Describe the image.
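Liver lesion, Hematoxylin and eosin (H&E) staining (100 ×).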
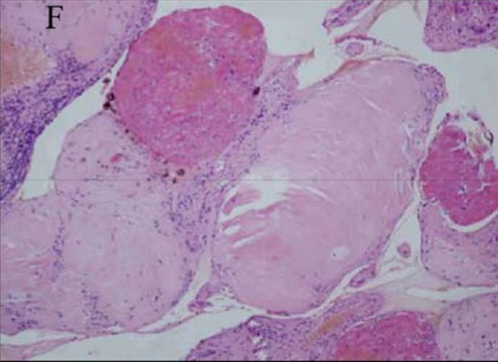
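Some nodules are a deeper red, and a few small dark brown granules lie at the edge of one of them. Between the nodules run clefts and thin bands of fibrous tissue with scattered purple nuclei. A more cellular strip lies along the upper left.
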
